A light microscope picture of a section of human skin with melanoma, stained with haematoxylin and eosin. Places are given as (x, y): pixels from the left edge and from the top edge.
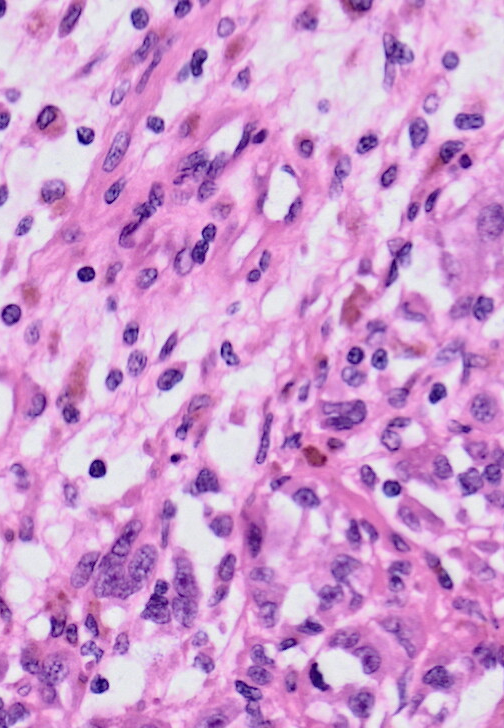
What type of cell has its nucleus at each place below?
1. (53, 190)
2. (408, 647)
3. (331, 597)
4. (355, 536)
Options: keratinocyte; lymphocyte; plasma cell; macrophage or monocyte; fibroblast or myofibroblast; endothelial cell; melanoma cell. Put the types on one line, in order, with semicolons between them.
macrophage or monocyte; melanoma cell; melanoma cell; melanoma cell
